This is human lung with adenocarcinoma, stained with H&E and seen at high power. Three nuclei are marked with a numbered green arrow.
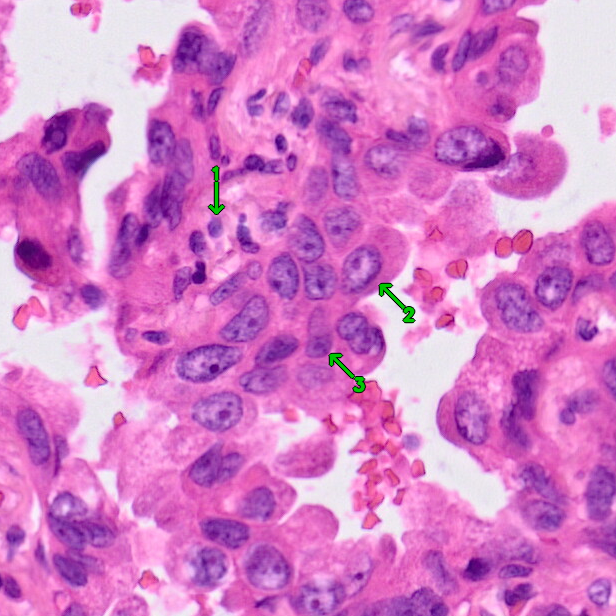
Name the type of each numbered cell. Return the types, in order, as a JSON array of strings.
["lymphocyte", "carcinoma cell", "carcinoma cell"]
